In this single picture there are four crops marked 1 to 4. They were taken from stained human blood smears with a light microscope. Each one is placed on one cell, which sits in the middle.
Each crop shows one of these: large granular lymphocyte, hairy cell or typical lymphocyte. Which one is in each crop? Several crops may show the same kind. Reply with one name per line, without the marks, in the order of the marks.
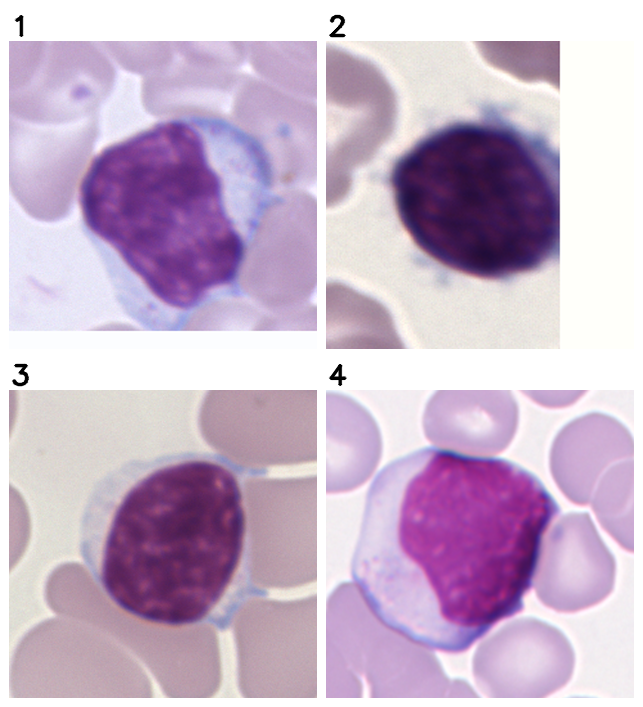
typical lymphocyte
hairy cell
typical lymphocyte
large granular lymphocyte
